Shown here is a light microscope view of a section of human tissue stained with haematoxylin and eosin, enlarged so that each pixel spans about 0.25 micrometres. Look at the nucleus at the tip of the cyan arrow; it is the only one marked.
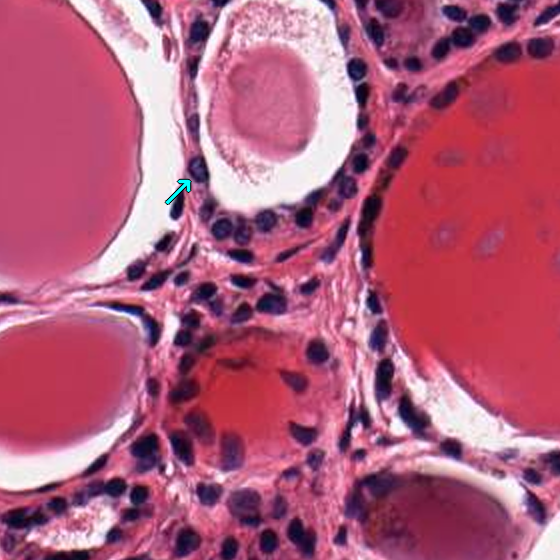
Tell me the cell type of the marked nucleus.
thyroid follicular cell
